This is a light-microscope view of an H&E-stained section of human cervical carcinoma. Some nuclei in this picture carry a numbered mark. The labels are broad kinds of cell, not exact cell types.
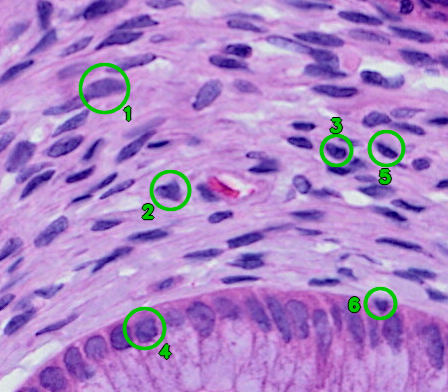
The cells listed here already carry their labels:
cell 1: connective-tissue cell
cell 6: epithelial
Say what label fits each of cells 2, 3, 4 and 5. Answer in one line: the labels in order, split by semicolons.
connective-tissue cell; connective-tissue cell; epithelial; connective-tissue cell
